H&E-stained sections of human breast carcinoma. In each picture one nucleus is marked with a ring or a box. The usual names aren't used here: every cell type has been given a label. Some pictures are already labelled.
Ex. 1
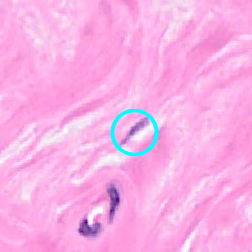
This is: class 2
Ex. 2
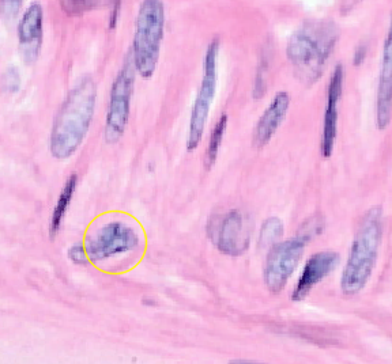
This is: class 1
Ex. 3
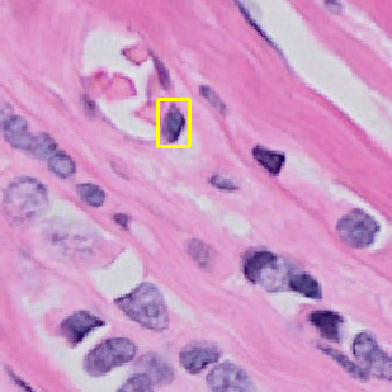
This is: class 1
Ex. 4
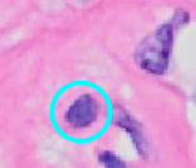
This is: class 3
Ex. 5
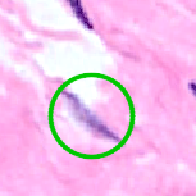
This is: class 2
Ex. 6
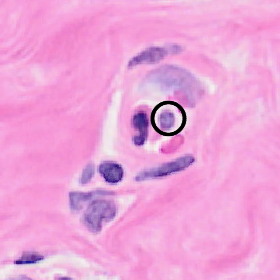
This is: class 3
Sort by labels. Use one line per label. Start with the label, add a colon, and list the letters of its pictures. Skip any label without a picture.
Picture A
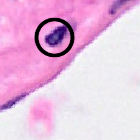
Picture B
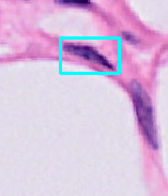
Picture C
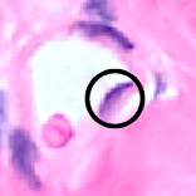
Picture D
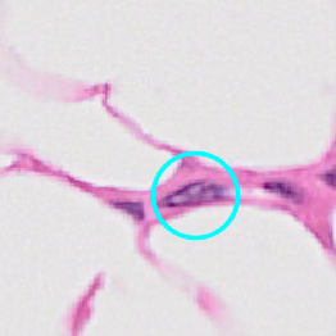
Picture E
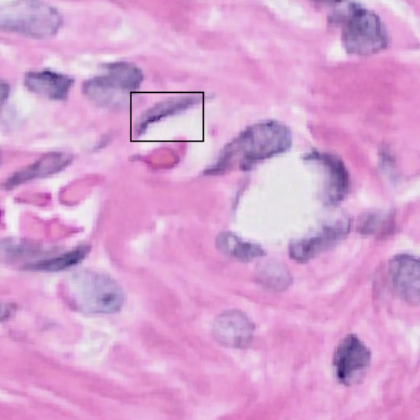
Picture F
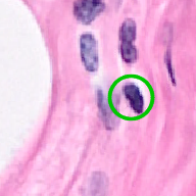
class 1: B, C, D, E
class 3: A, F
